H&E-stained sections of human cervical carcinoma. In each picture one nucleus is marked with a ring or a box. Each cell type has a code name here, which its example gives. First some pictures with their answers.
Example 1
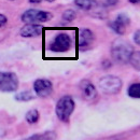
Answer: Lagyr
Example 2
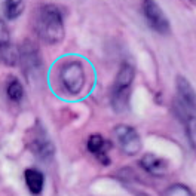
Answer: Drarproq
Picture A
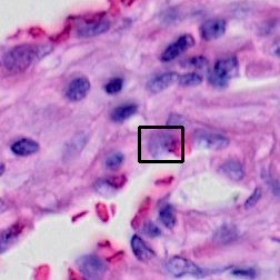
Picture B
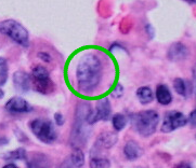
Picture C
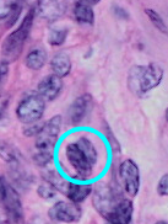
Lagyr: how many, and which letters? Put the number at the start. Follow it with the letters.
1, namely C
